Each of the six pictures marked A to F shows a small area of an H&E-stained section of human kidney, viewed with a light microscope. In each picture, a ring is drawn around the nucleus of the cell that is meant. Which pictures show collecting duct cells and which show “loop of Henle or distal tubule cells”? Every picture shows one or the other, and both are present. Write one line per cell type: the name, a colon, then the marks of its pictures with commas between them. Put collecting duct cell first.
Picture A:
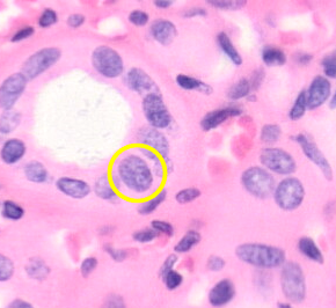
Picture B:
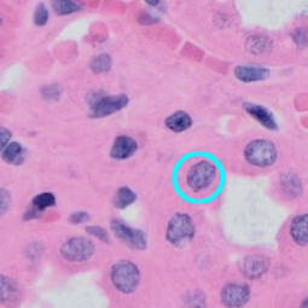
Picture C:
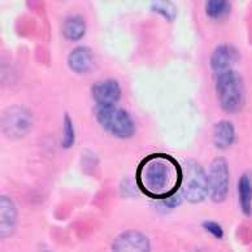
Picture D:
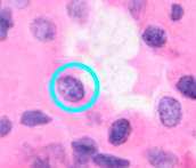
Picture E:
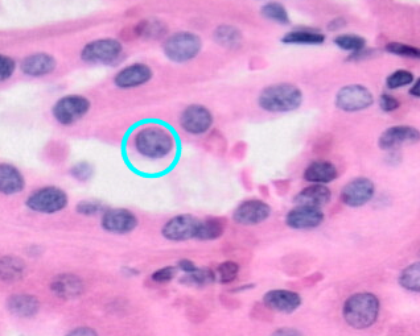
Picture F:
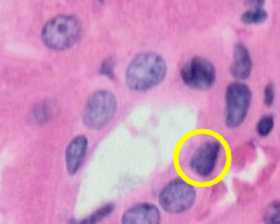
collecting duct cell: A, C, F
loop of Henle or distal tubule cell: B, D, E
